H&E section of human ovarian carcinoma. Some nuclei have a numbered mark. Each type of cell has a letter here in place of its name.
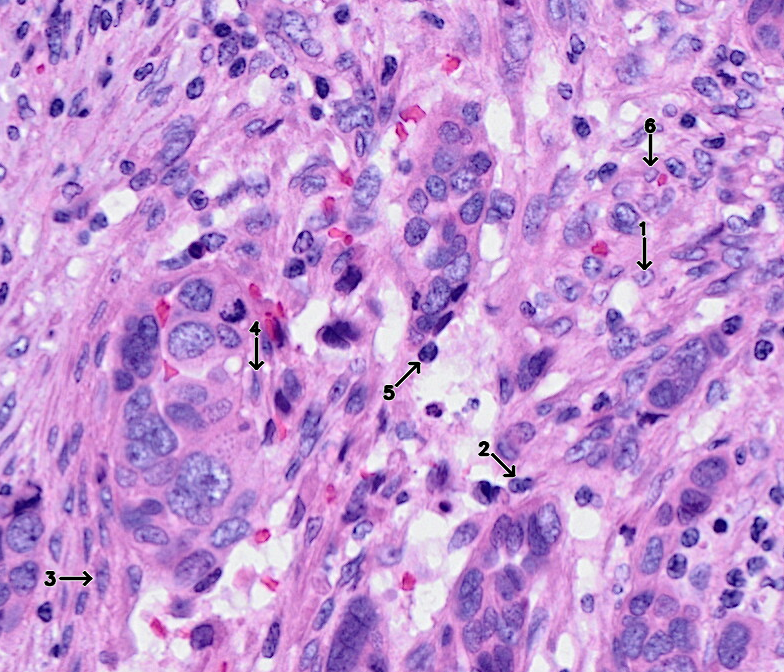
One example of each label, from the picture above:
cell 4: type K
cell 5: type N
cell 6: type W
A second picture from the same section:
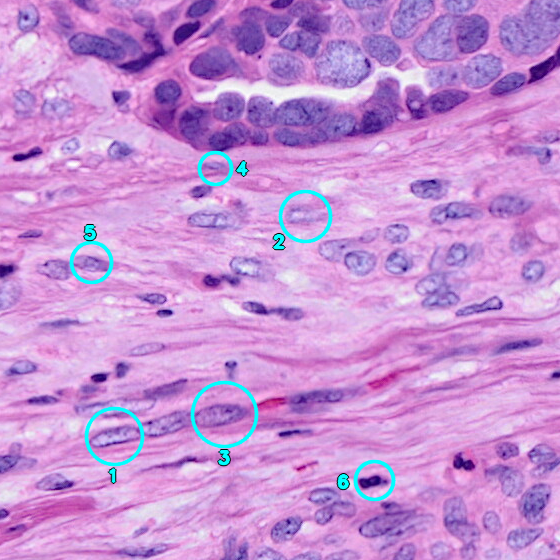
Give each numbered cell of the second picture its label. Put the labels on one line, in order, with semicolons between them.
type W; type K; type W; type K; type K; type N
